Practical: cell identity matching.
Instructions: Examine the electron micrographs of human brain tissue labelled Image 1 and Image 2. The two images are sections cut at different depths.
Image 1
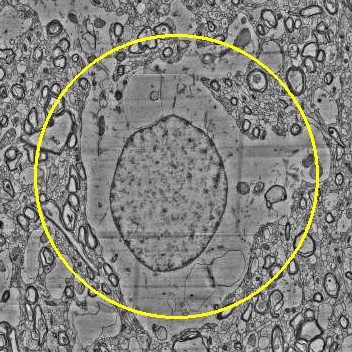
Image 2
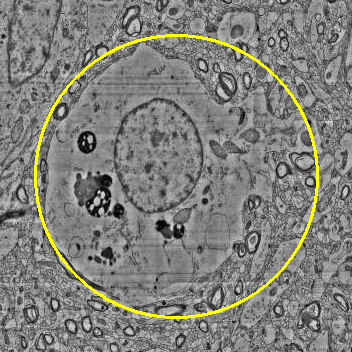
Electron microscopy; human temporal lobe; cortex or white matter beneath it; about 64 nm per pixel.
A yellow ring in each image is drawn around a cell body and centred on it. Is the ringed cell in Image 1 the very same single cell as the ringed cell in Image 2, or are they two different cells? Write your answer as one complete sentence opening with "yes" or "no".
No, the two rings are drawn around two distinct cells.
